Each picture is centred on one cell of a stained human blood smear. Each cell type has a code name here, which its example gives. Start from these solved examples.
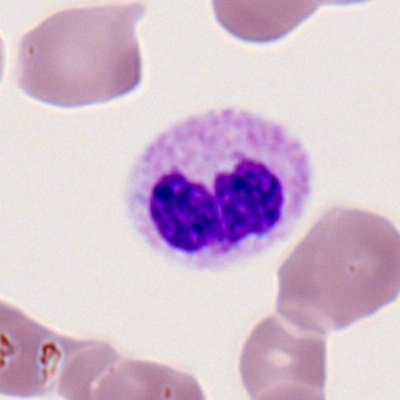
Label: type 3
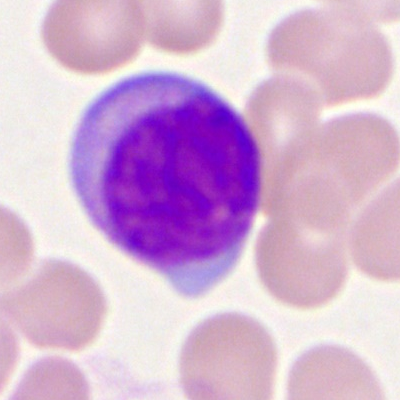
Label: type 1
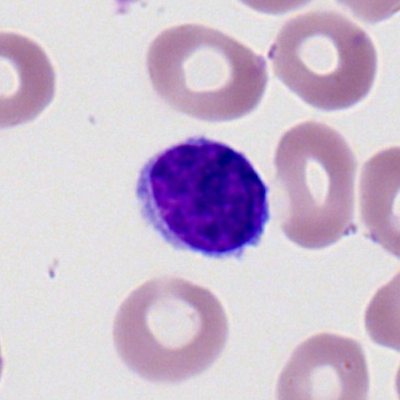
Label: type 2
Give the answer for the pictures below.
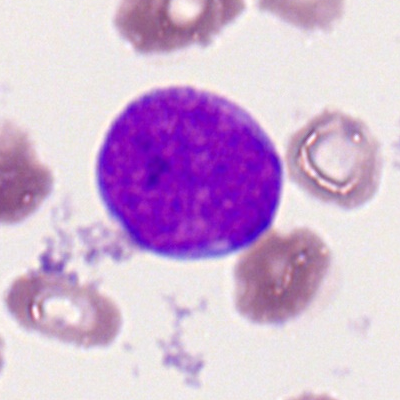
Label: type 1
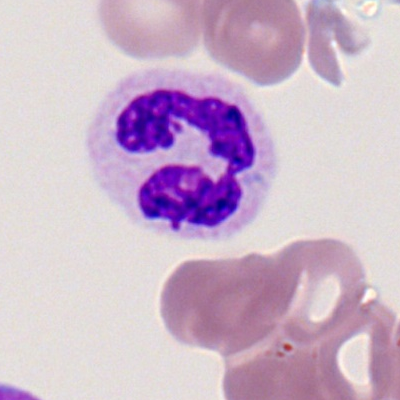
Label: type 3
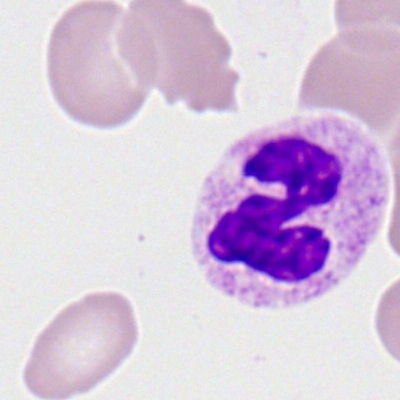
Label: type 3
